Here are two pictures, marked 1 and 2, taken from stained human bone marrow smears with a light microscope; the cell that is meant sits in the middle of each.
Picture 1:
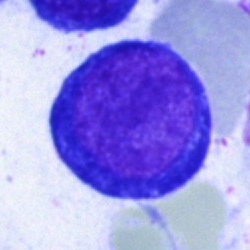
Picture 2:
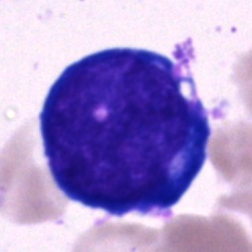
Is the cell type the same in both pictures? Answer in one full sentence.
Yes; the cells in both pictures are proerythroblasts.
